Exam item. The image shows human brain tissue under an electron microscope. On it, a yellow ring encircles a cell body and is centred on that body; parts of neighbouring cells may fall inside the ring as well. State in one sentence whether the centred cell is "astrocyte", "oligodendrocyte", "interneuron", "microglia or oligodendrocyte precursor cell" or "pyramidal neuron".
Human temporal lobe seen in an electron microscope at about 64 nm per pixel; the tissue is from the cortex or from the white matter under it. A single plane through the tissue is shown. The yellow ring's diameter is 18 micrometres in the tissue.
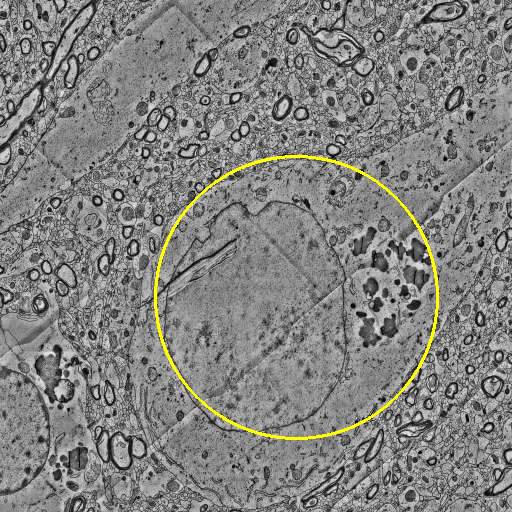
The cell body centred in the ring is a pyramidal neuron.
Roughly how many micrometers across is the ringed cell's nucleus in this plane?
Approximately 16 by 13 micrometers in this plane.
